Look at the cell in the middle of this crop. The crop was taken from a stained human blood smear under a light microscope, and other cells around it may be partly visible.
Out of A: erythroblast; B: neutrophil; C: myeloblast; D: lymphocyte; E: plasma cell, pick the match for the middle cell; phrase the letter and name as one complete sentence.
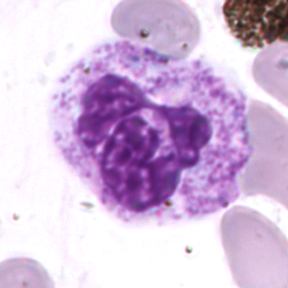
That cell in the center is a neutrophil, hence option B.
